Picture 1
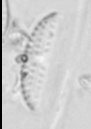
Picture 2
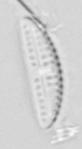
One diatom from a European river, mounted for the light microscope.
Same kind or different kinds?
Same: Amphora.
